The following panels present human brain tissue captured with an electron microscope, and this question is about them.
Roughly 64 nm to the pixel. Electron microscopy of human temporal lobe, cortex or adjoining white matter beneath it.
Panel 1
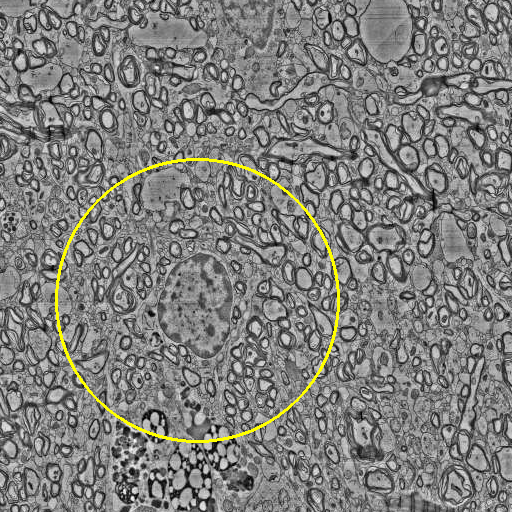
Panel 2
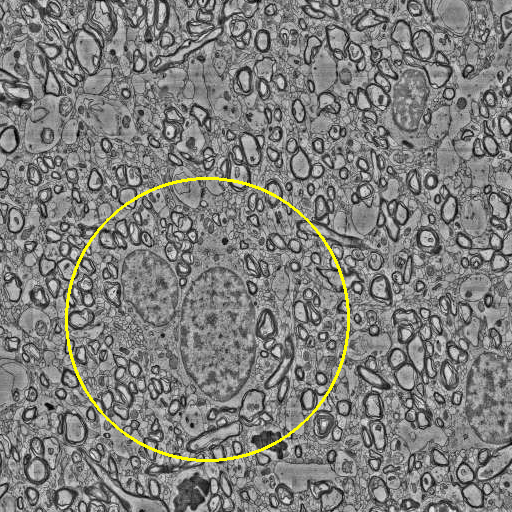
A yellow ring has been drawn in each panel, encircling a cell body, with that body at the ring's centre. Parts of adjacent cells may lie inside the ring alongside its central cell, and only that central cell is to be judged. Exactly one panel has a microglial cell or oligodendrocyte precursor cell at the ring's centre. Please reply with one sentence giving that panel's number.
The ring whose central cell fits the description is the one in panel 1.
